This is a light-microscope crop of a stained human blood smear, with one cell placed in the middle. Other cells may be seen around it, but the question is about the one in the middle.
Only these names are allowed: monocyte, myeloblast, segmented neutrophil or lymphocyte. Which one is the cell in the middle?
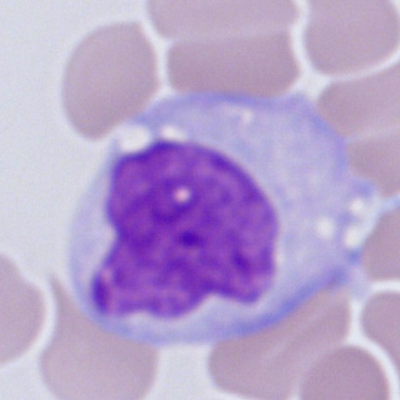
monocyte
